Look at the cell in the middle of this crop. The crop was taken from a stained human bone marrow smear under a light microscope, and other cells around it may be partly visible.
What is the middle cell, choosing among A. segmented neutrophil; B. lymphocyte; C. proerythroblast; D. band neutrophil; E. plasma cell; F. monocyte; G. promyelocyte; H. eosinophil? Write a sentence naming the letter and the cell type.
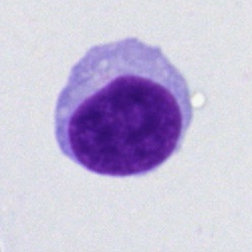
The central cell of the crop is a lymphocyte, which makes B the correct option.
